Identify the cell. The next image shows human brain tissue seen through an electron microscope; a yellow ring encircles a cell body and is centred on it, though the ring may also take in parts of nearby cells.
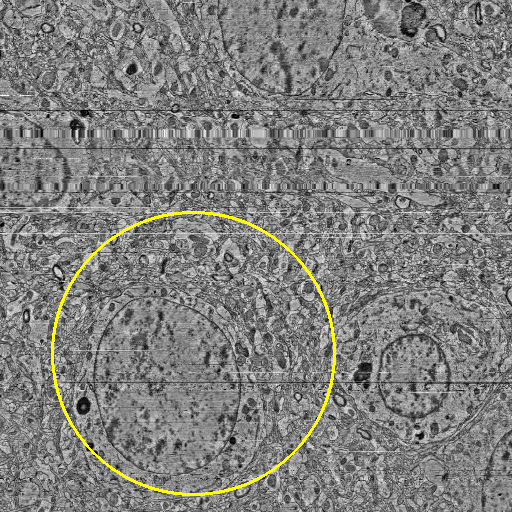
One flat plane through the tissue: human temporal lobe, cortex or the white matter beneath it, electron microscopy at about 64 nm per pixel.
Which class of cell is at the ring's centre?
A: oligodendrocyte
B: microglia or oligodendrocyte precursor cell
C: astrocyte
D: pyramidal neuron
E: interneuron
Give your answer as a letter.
D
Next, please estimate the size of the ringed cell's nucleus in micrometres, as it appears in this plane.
The nucleus has a long axis of about 12 micrometres and a short axis of about 9 micrometres in this plane.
